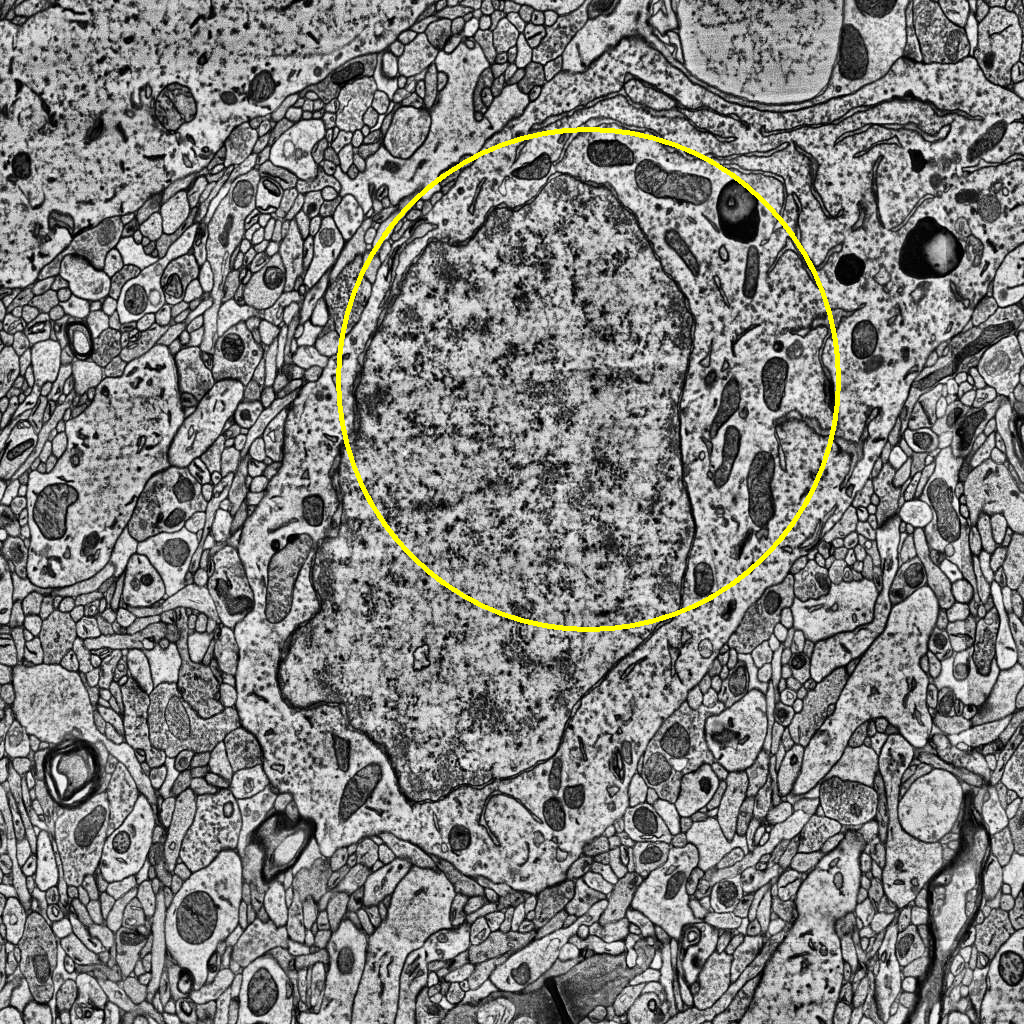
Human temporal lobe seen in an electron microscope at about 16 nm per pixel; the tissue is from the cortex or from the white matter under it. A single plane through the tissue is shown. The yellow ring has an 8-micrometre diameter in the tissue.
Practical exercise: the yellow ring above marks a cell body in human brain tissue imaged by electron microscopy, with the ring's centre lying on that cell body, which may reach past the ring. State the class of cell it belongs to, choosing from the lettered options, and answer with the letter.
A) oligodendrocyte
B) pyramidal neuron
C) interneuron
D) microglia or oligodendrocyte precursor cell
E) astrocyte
C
